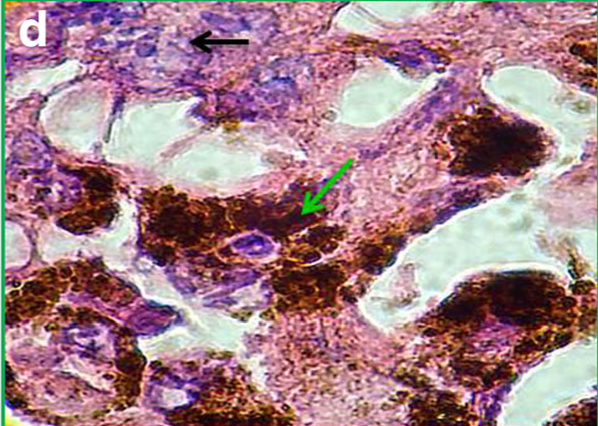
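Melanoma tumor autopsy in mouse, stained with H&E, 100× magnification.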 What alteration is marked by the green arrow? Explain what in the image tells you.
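The arrow points to a mass of dark brown granules. The granules fill the cytoplasm around purple nuclei.
Answer: melanin pigmentation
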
